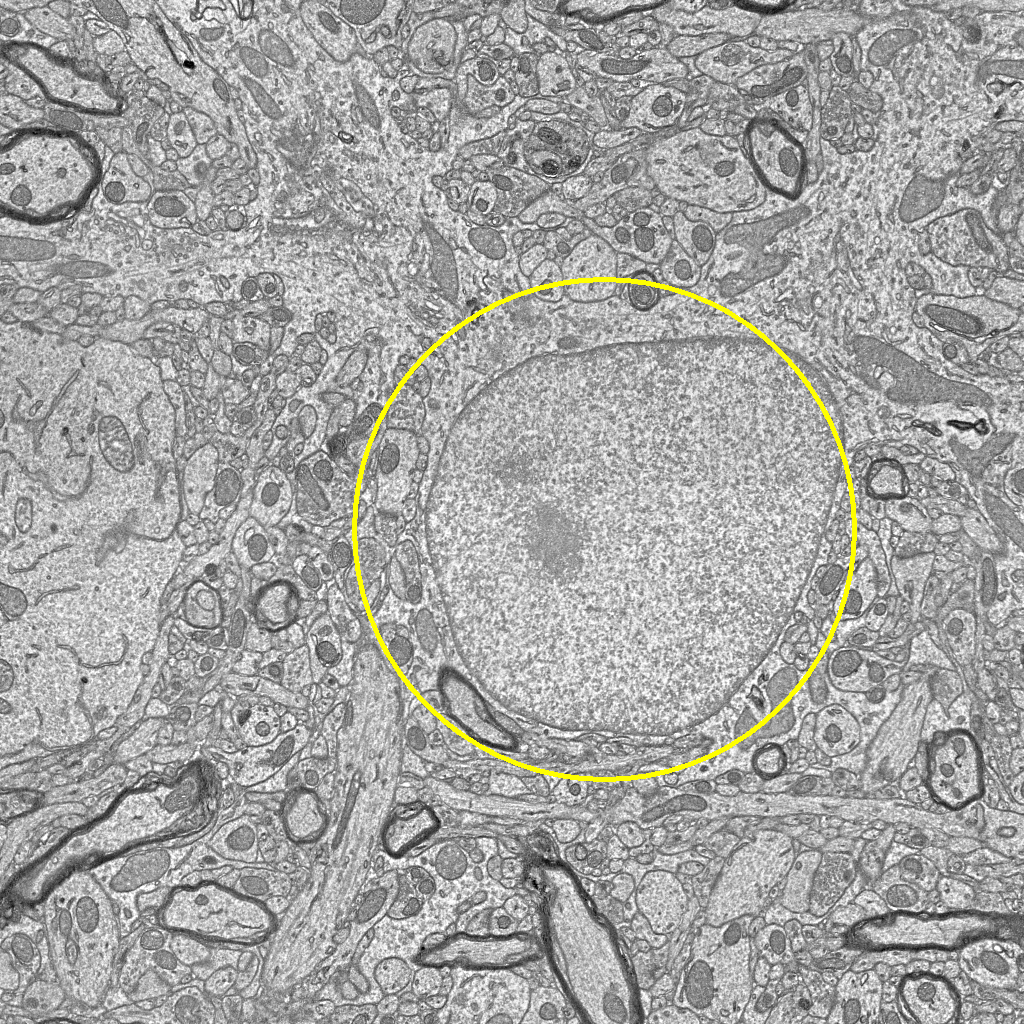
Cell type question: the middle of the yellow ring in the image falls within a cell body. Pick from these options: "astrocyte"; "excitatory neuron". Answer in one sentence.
The cell body at the center of the ring belongs to an astrocyte.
